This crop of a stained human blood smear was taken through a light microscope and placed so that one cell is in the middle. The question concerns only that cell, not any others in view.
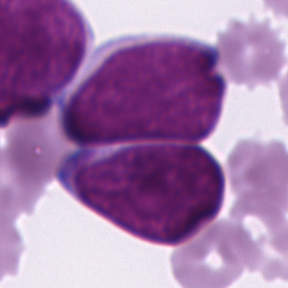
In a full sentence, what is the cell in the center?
Here the centrally located cell is a blast.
